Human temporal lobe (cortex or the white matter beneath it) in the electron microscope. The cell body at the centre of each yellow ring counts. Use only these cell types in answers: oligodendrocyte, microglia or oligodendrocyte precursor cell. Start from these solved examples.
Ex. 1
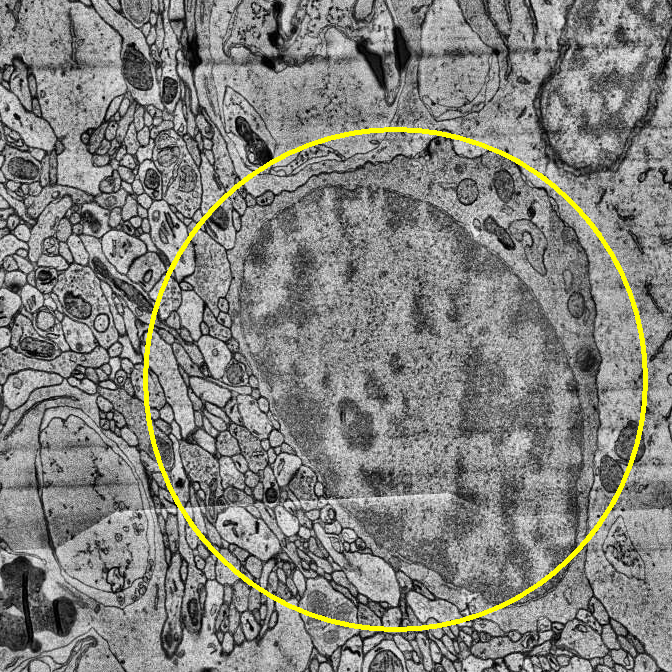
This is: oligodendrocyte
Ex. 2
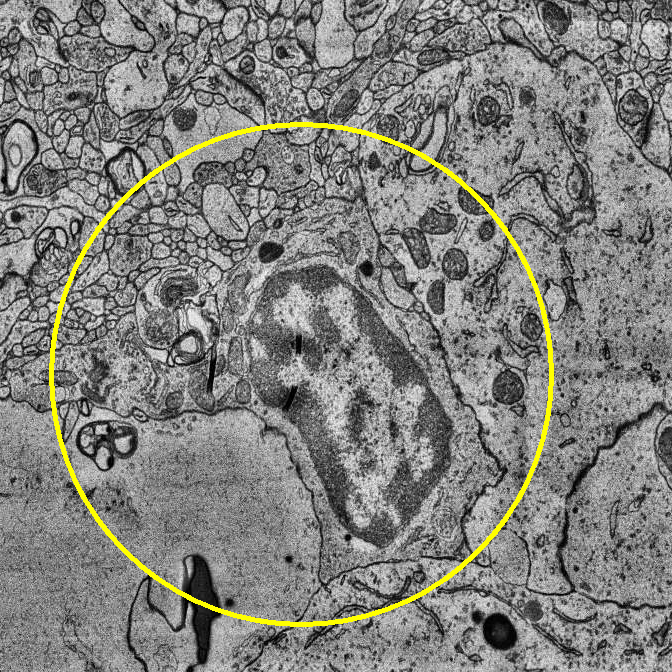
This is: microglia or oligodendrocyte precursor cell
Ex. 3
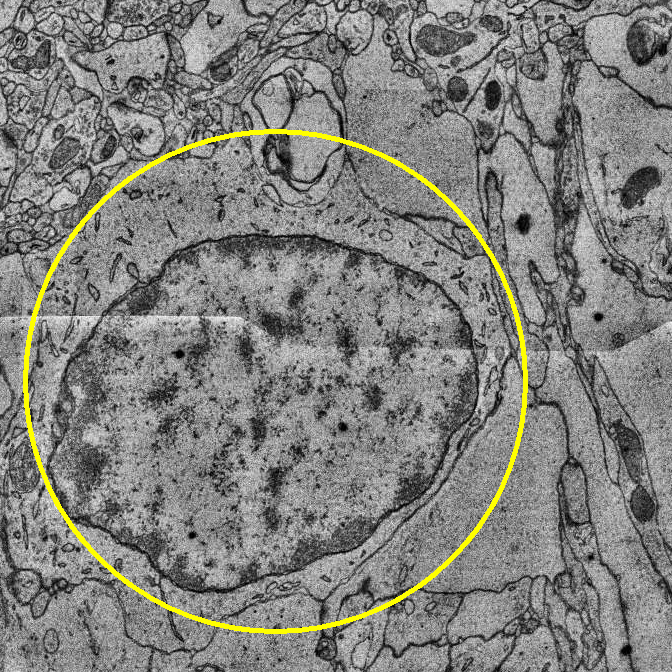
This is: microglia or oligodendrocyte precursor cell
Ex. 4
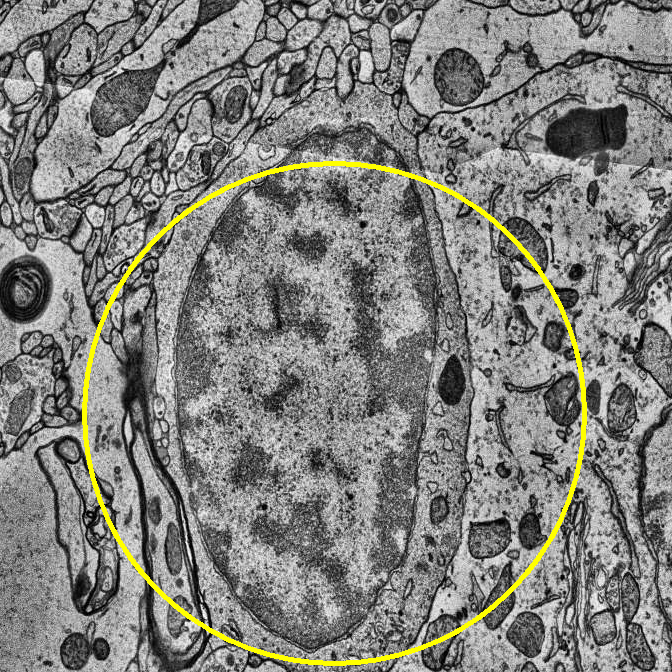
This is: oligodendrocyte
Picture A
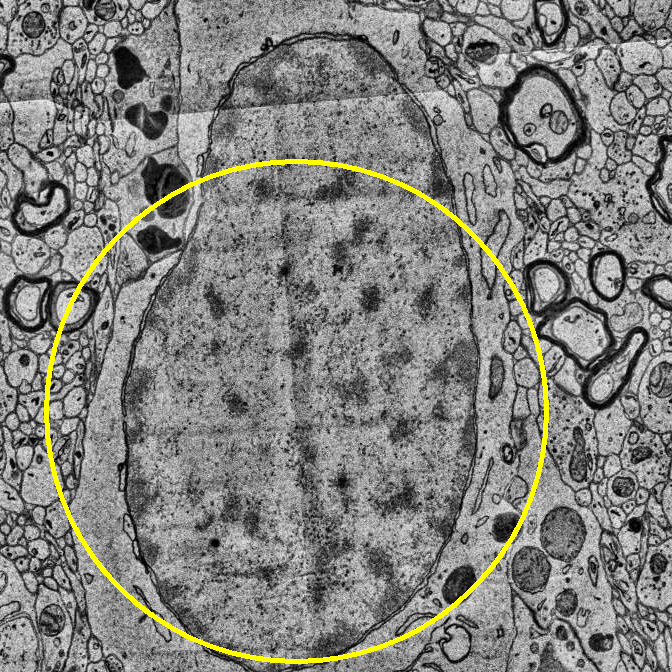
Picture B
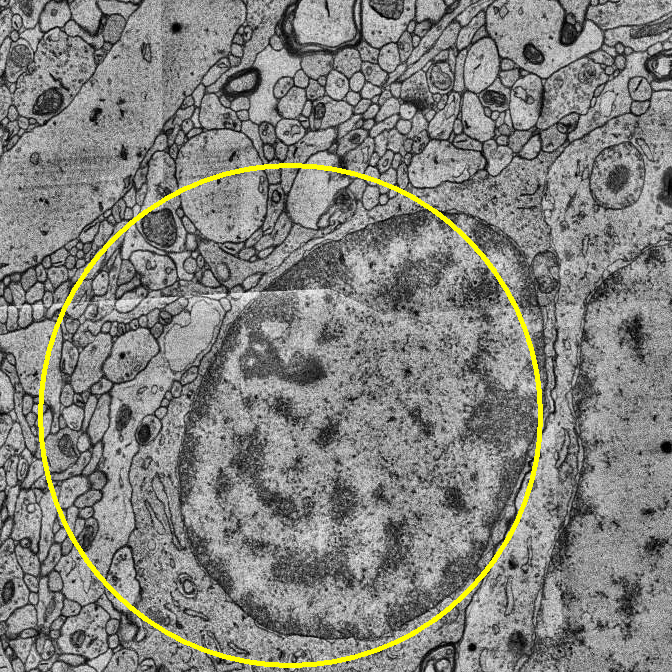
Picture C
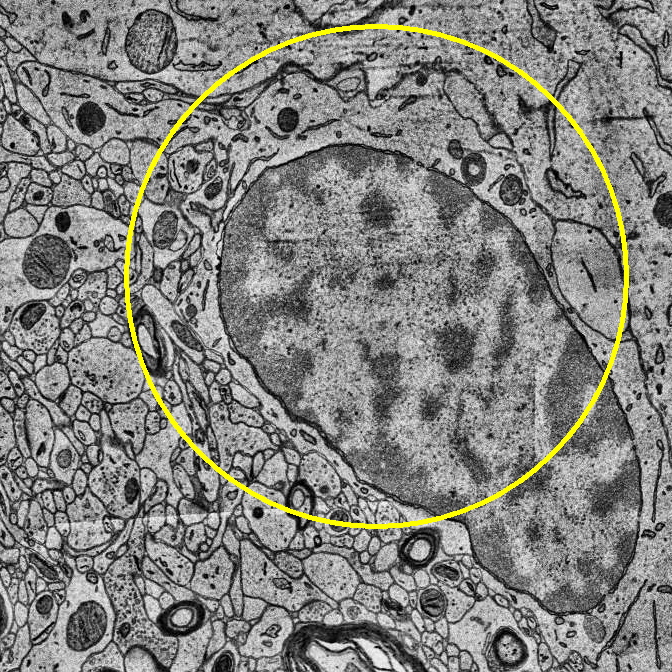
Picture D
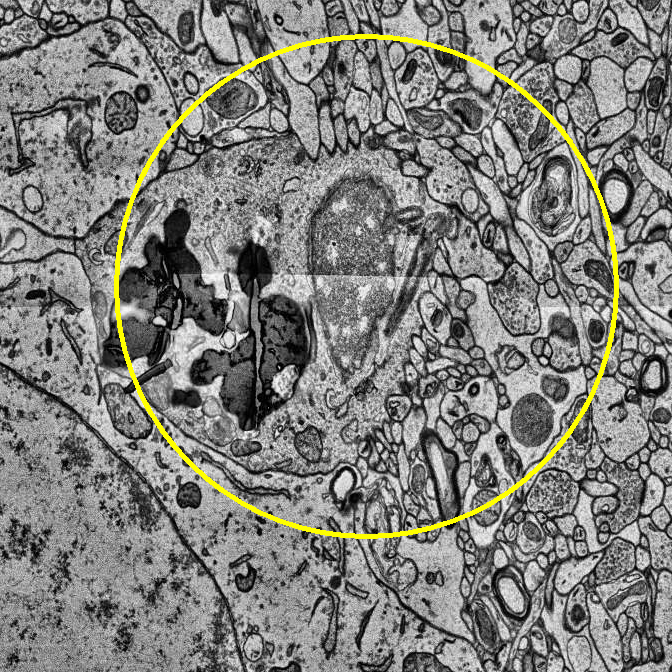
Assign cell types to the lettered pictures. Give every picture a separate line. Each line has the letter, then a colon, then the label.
A: microglia or oligodendrocyte precursor cell
B: oligodendrocyte
C: microglia or oligodendrocyte precursor cell
D: oligodendrocyte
